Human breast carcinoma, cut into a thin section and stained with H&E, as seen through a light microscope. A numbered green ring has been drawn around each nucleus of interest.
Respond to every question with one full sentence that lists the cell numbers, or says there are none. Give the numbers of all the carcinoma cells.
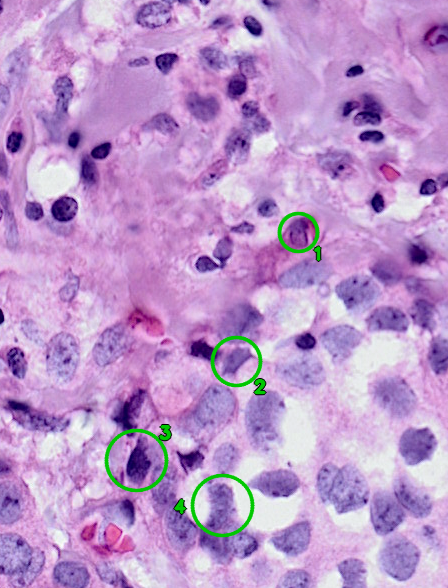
Each of the cells numbered 2, 3 and 4 is among the carcinoma cells.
